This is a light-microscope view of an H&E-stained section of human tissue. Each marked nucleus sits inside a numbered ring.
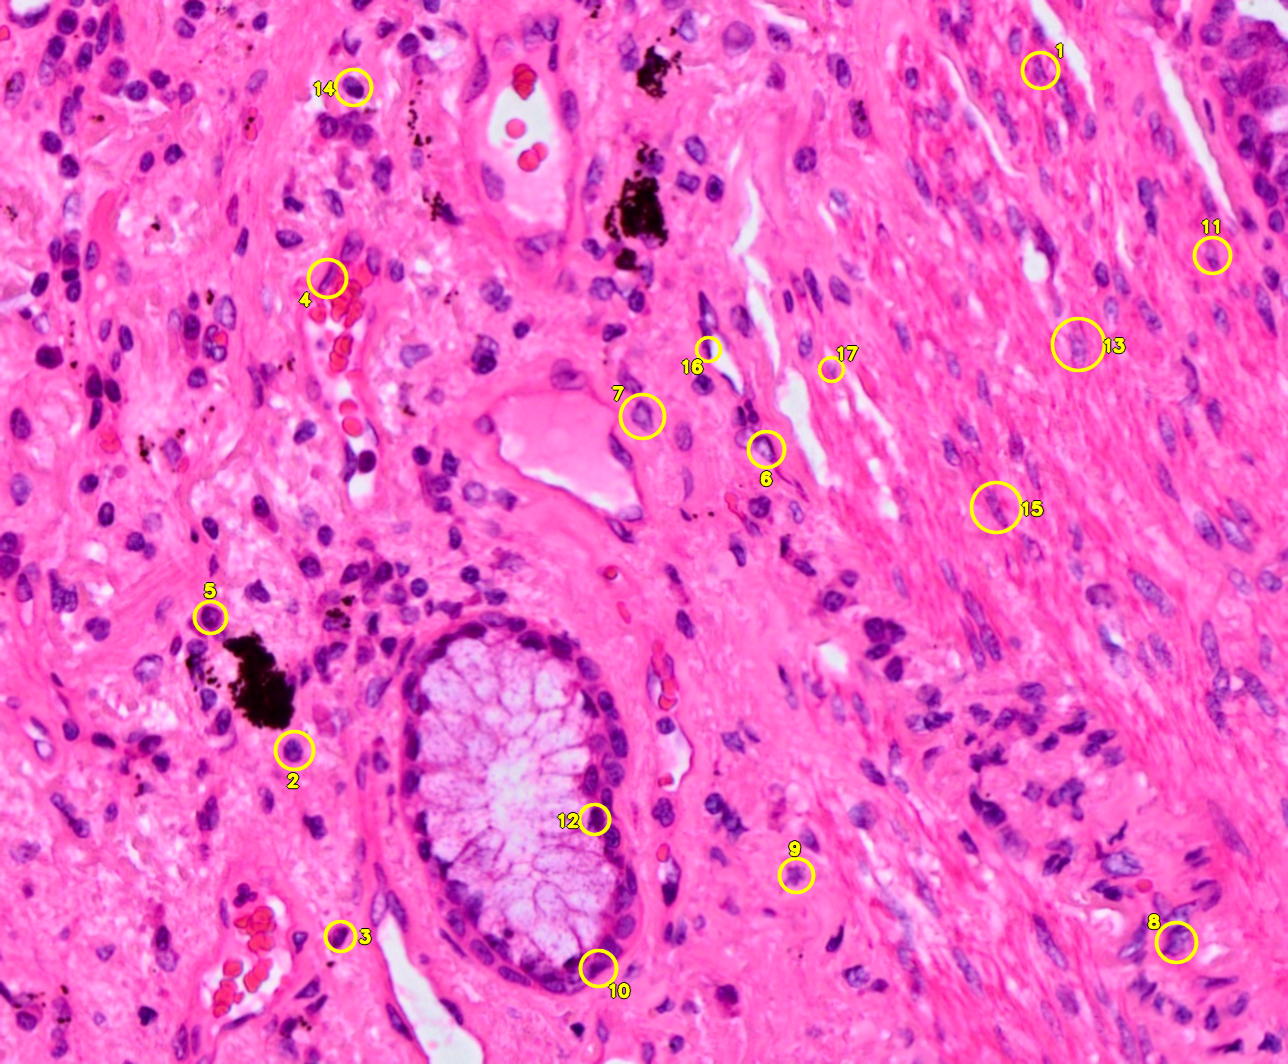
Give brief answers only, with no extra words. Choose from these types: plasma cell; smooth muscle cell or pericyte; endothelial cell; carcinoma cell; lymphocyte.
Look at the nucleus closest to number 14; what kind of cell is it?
plasma cell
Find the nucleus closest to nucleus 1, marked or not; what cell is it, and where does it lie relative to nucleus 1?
a smooth muscle cell or pericyte; below and to the right of nucleus 1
